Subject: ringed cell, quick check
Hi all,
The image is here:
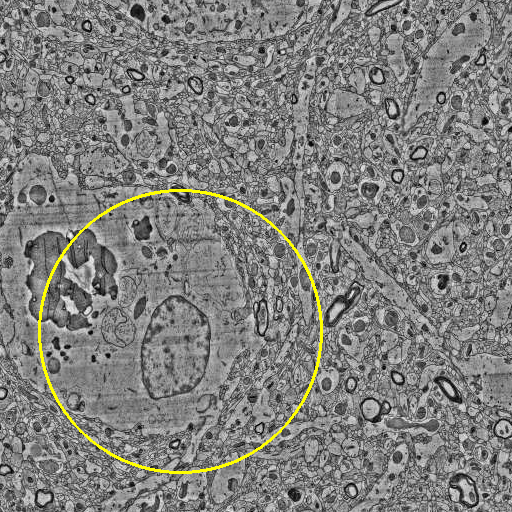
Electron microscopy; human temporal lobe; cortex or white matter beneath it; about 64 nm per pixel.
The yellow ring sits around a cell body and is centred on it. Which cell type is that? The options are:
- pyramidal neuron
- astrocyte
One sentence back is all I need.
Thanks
That ringed cell is an astrocyte.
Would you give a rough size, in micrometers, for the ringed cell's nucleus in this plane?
In this plane the nucleus measures about 7 by 4 micrometres and is clearly longer than it is wide.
